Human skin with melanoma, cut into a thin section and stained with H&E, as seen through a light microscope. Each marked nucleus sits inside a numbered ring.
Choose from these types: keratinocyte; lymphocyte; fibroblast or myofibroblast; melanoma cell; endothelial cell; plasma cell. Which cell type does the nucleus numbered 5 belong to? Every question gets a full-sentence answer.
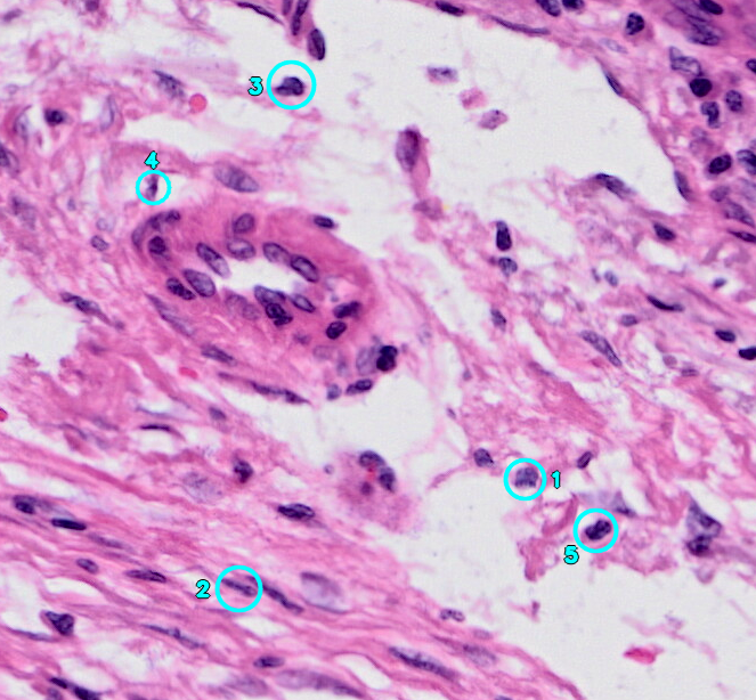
Cell 5, as marked in the section, is a lymphocyte.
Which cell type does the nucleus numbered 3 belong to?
The cell numbered 3 represents a lymphocyte.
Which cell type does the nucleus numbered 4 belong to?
Number 4 among the marked cells is a fibroblast or myofibroblast.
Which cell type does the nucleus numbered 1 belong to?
The correct answer for cell 1 is a lymphocyte.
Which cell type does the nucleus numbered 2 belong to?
Looking at the numbered marks, cell 2 is a fibroblast or myofibroblast.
